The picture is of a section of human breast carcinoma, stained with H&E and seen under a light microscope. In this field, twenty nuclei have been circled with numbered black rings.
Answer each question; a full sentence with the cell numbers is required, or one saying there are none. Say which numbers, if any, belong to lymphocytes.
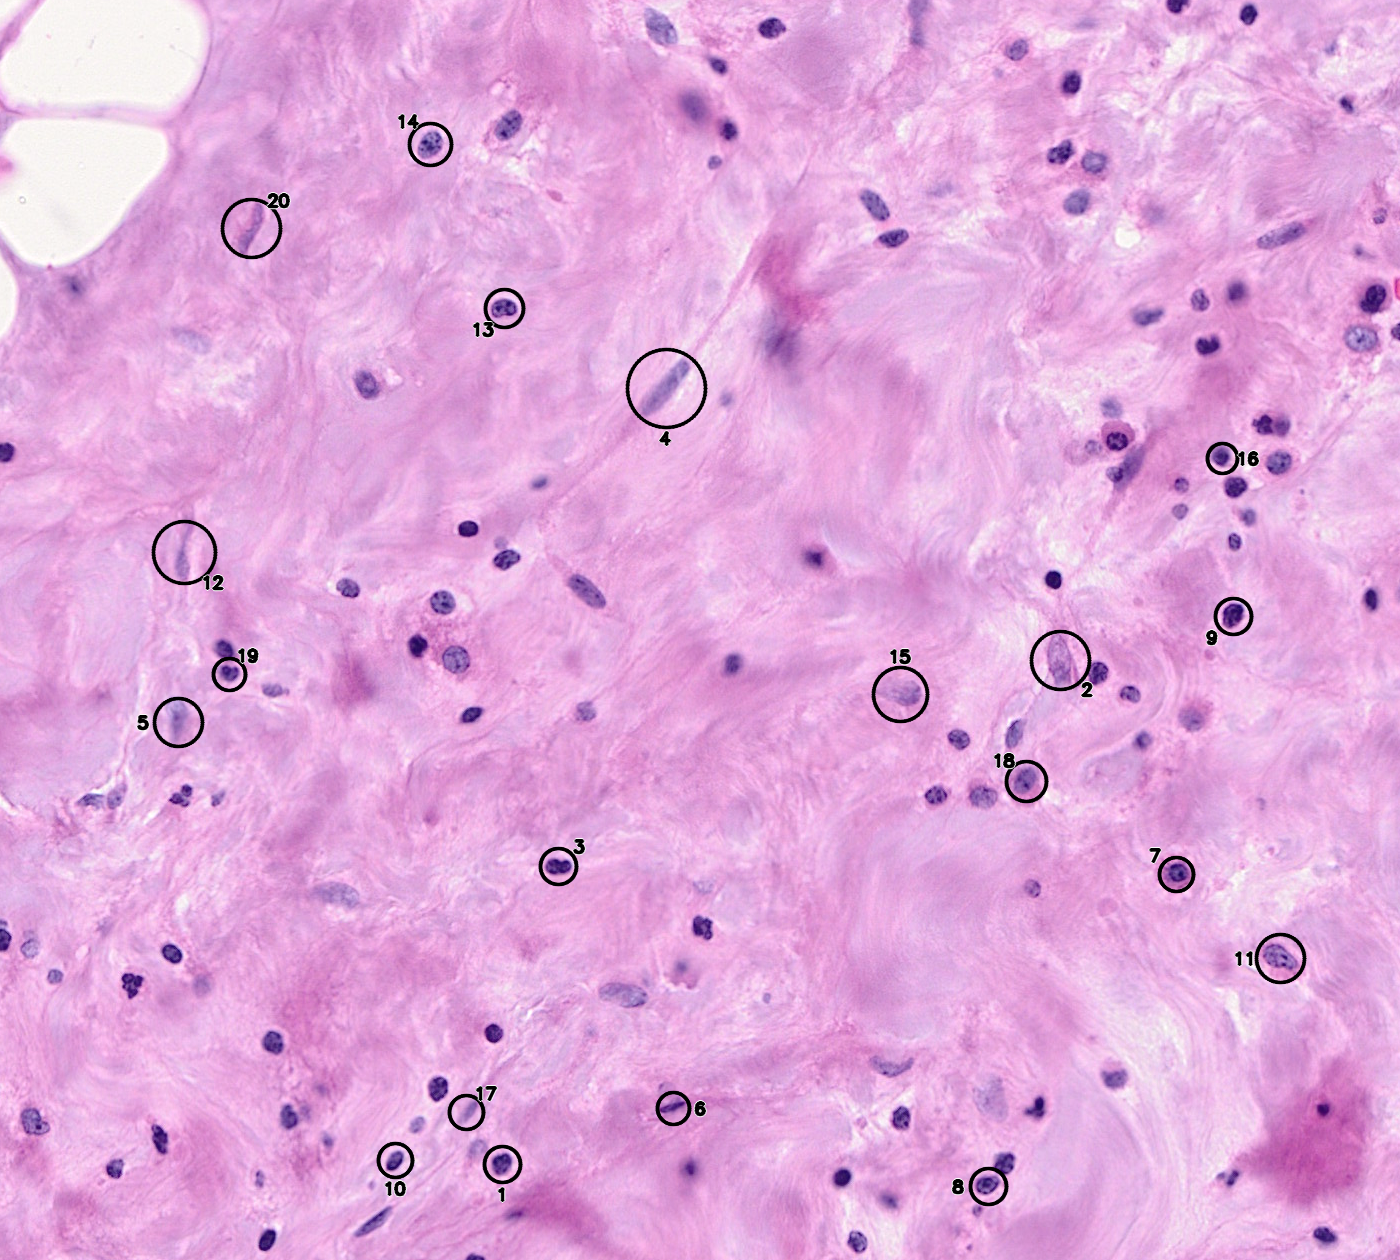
The cells shown with numbers 1, 3, 8, 9, 10, 13, 16 and 19 are lymphocytes.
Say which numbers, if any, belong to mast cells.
The cells to which the numbers 7, 11, 14 and 18 refer are mast cells.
